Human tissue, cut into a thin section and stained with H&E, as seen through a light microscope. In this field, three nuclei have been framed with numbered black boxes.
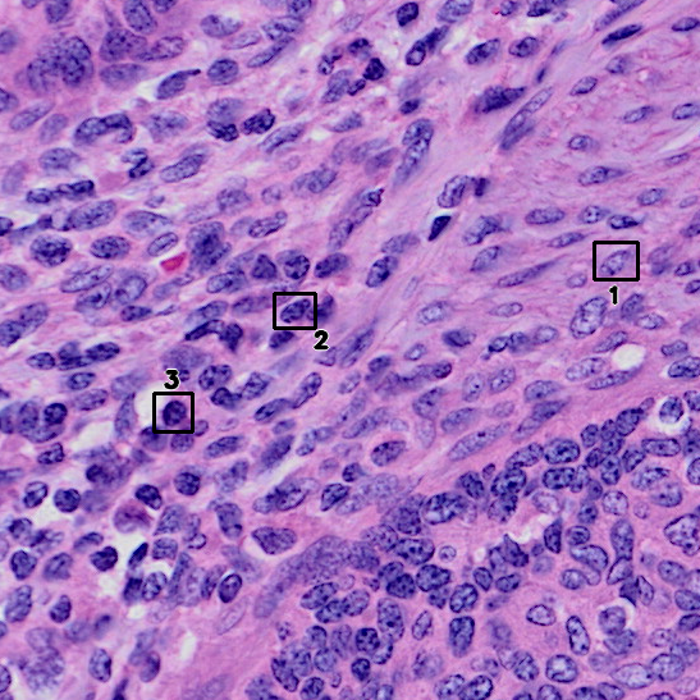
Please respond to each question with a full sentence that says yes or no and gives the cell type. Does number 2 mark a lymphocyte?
Yes, regarding cell number 2, it is a lymphocyte.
